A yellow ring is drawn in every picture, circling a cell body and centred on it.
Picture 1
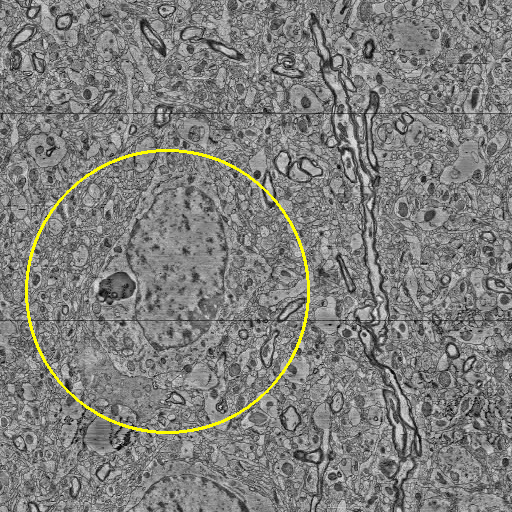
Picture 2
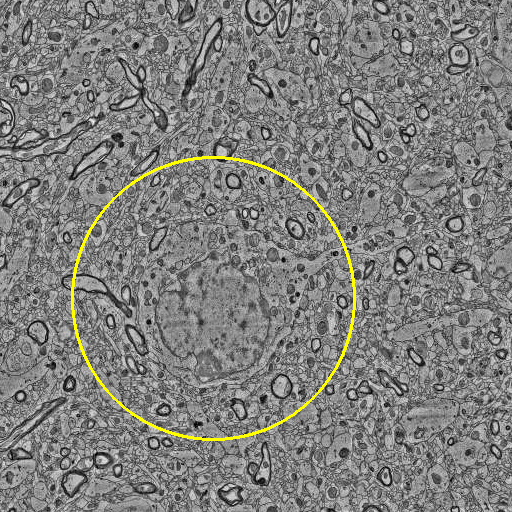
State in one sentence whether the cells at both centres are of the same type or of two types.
The cells at the two ring centres, one per picture, are of the same type.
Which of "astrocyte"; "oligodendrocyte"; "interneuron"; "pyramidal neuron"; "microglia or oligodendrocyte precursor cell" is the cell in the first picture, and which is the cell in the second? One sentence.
Each cell at the centre of a ring is an interneuron.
